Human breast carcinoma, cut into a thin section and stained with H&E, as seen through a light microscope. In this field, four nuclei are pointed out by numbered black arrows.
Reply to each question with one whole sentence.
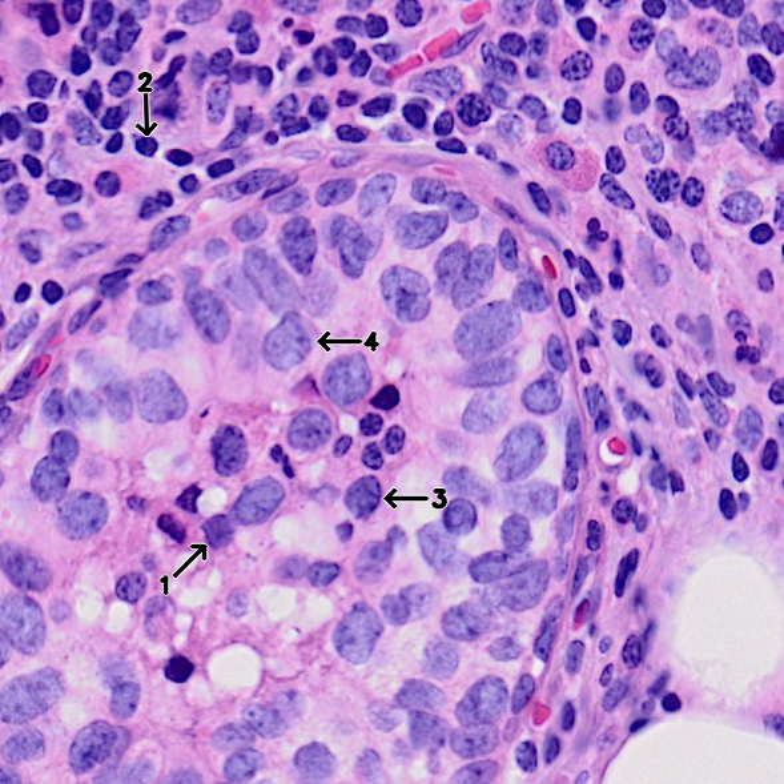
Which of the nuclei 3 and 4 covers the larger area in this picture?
Nucleus 4 is the larger one, covering about 1.5 times the area of nucleus 3.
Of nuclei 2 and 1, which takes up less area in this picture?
Nucleus 2 is the smaller one; nucleus 1 covers about 2 times its area.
